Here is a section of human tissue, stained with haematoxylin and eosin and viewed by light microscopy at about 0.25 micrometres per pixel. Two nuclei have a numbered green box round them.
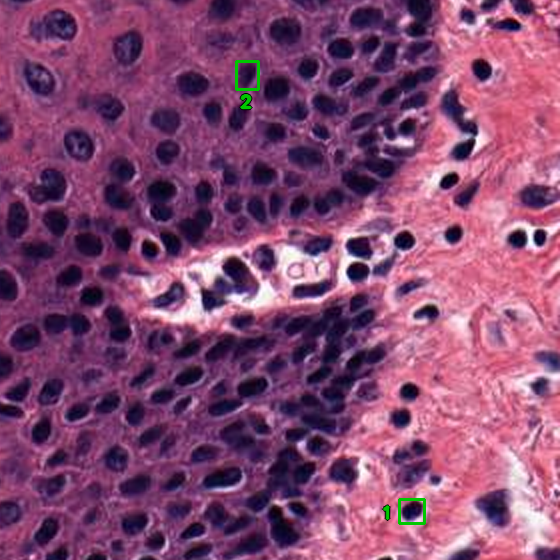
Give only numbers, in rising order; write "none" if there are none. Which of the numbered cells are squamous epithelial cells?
2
